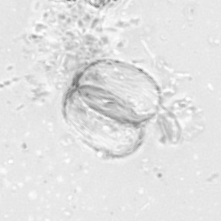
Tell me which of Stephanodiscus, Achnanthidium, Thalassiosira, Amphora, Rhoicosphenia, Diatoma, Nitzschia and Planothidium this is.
The picture shows Stephanodiscus.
